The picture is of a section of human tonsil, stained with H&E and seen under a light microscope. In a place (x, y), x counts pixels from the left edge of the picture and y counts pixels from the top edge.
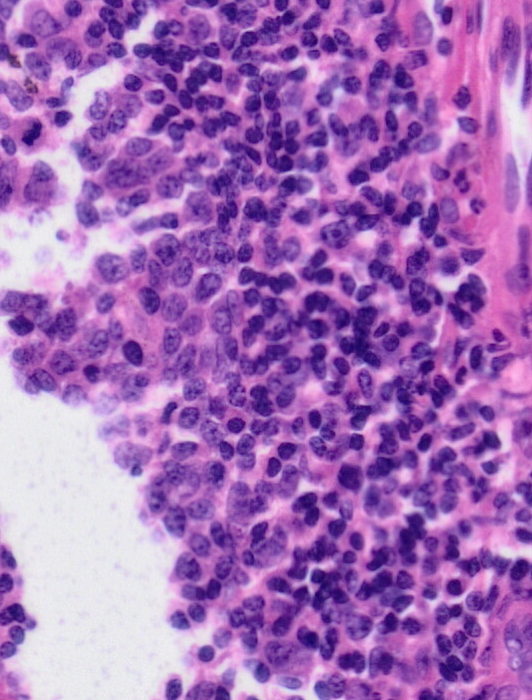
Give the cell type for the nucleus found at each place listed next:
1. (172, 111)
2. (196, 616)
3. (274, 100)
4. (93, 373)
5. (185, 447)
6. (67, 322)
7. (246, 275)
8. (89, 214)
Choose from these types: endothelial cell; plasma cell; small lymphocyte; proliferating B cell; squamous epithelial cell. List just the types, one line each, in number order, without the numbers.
small lymphocyte
small lymphocyte
small lymphocyte
proliferating B cell
proliferating B cell
proliferating B cell
small lymphocyte
proliferating B cell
